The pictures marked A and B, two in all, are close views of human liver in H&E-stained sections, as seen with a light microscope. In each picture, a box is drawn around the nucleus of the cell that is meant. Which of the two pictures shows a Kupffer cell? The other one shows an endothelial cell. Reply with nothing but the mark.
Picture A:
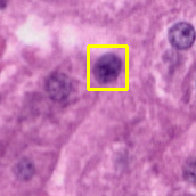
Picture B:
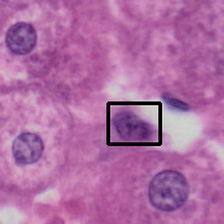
B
